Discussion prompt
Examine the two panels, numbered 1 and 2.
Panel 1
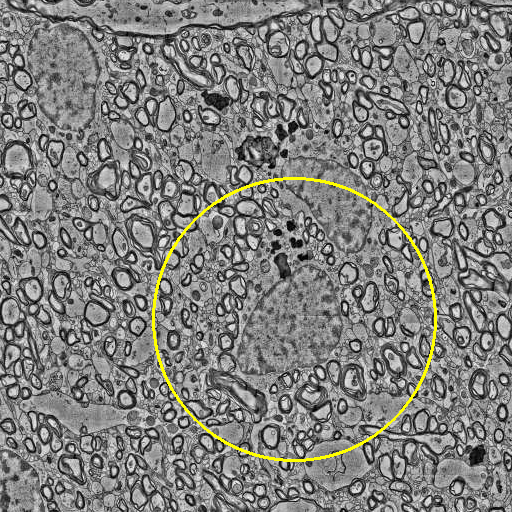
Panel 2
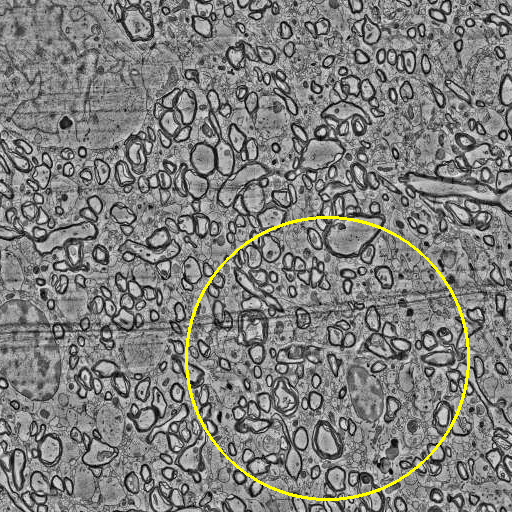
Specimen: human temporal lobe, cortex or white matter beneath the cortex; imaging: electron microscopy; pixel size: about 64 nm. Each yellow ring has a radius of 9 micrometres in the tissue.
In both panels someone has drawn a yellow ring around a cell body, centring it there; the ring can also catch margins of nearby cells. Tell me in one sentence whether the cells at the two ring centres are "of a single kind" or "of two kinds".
Taken together, the two cells centred in the rings of Panels 1 and 2 are of two kinds.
